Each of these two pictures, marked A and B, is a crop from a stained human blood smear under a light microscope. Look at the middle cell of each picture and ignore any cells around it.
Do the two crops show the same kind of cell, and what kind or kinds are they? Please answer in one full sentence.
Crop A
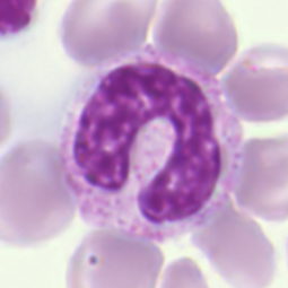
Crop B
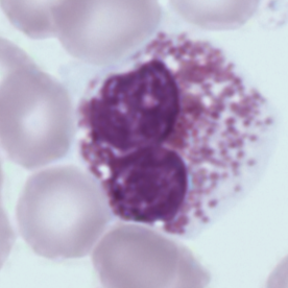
No, crop A offers a band neutrophil, while crop B offers an eosinophil.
